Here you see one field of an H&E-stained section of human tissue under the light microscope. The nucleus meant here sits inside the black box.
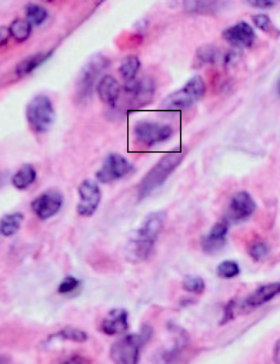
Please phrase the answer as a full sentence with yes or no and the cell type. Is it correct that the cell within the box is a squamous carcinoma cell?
No, the cell within the box is recognized as a lymphocyte rather than a squamous carcinoma cell.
